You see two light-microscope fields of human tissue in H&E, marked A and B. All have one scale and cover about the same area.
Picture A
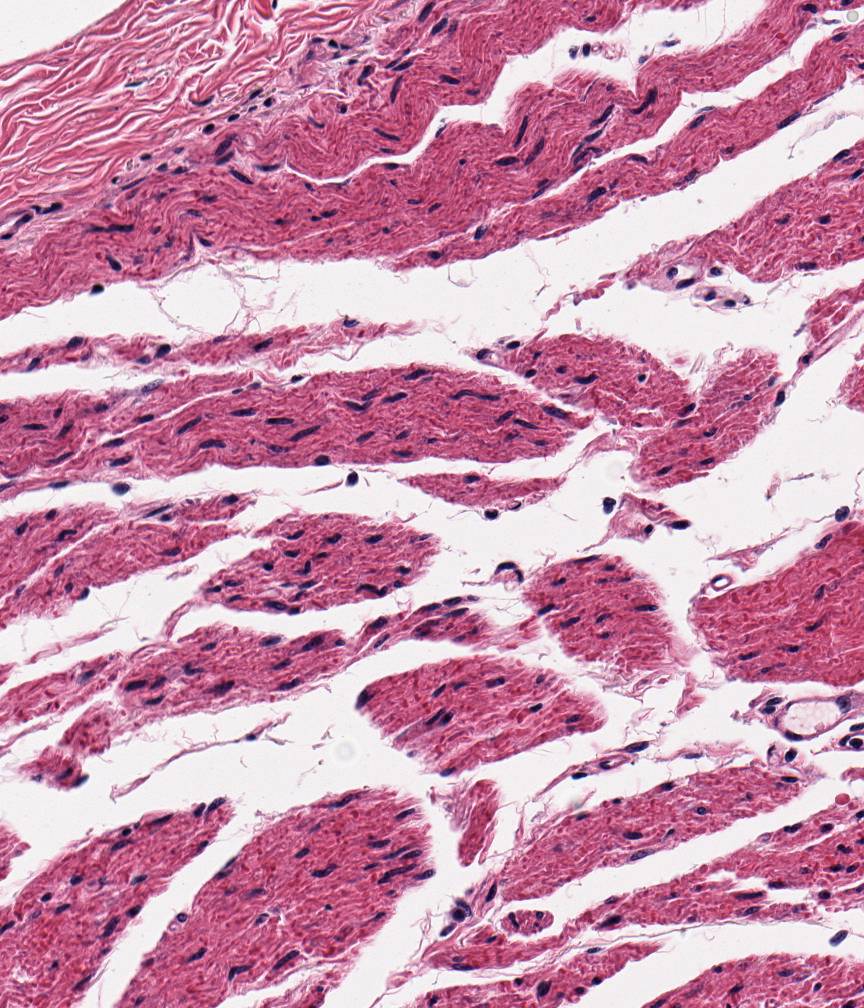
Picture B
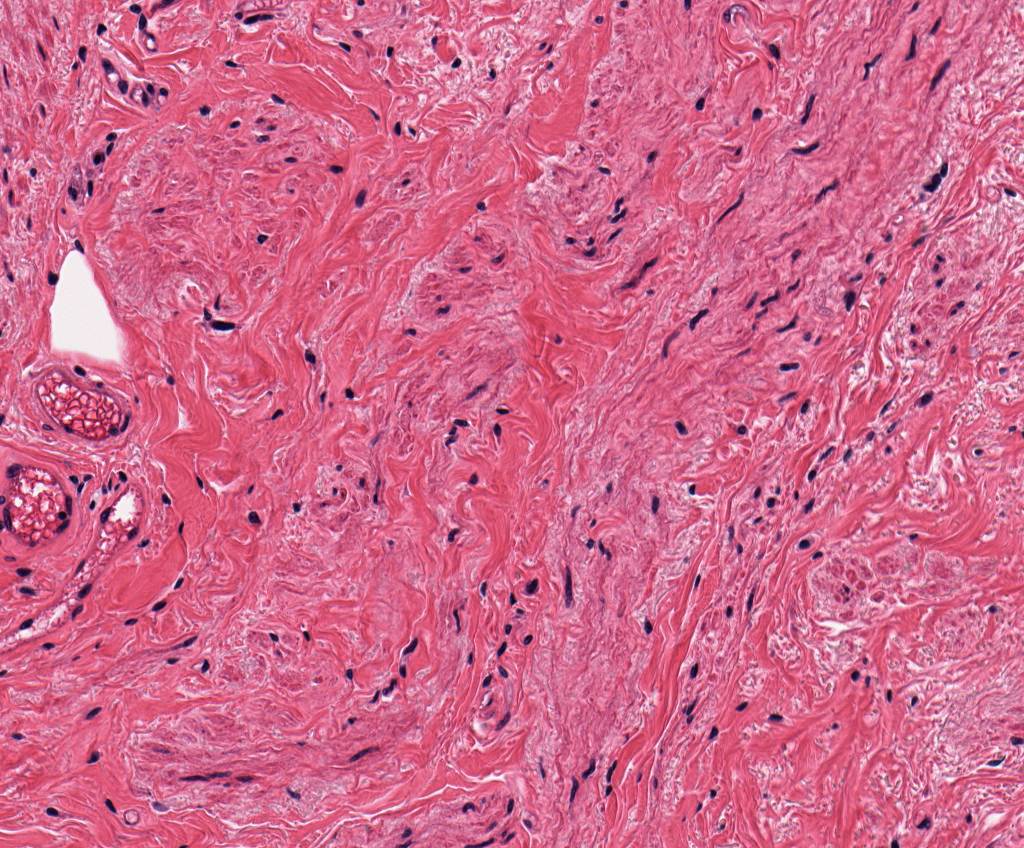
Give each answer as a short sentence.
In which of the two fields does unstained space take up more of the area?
Picture A has more white space.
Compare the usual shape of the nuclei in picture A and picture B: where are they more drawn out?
Longer, more slender nuclei lie in picture A.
